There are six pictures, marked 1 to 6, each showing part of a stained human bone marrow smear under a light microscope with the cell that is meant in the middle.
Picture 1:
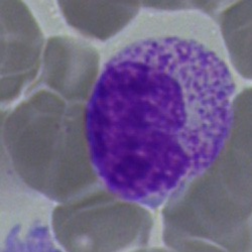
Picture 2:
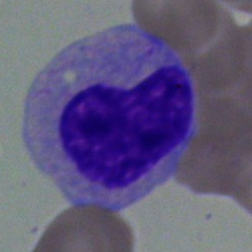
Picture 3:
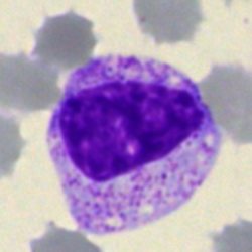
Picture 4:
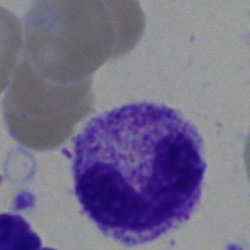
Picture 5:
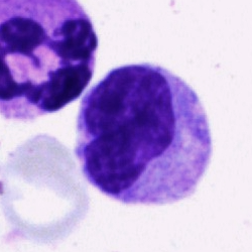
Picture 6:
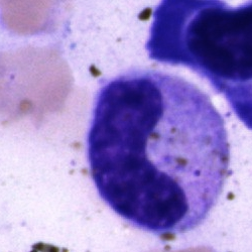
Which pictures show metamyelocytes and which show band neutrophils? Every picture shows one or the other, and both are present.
1: metamyelocyte
2: metamyelocyte
3: metamyelocyte
4: band neutrophil
5: metamyelocyte
6: band neutrophil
